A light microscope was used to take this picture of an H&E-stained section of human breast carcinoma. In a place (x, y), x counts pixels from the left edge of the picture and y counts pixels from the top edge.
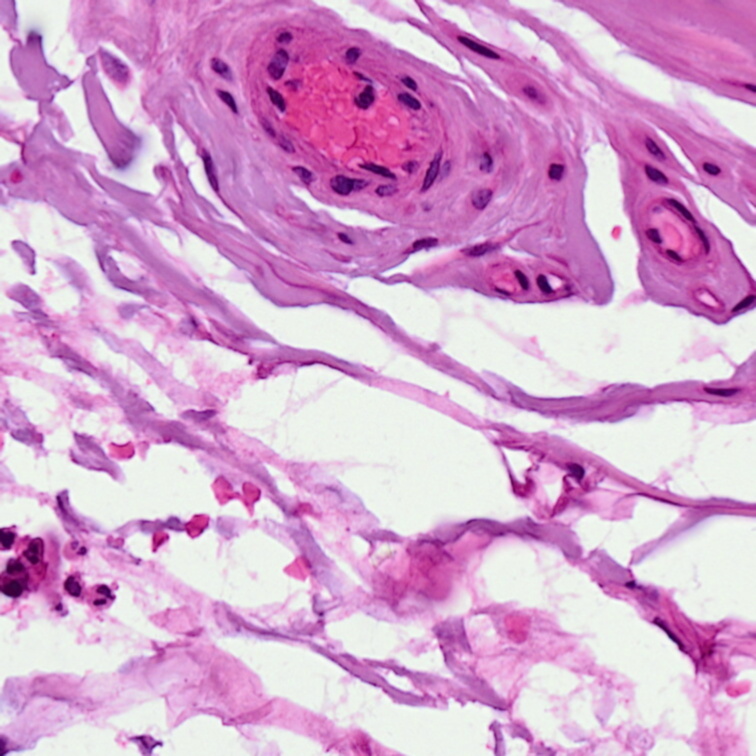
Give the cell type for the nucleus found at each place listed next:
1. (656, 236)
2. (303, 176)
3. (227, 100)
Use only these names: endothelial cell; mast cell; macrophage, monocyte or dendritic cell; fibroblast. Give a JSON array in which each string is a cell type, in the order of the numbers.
["endothelial cell", "fibroblast", "fibroblast"]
